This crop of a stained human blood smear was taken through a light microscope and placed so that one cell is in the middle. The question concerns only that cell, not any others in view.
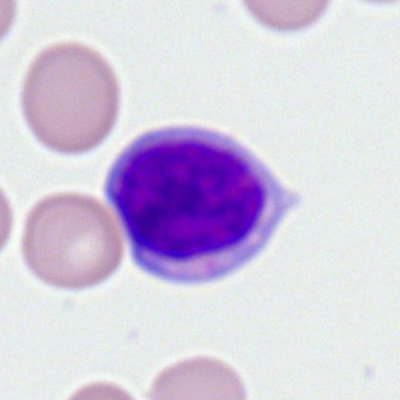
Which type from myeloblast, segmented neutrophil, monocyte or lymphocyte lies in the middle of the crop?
lymphocyte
